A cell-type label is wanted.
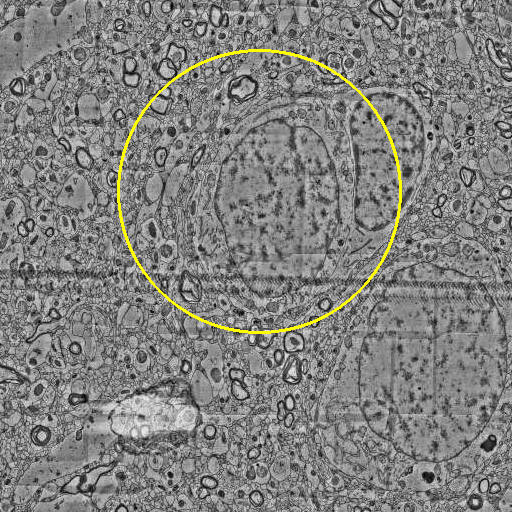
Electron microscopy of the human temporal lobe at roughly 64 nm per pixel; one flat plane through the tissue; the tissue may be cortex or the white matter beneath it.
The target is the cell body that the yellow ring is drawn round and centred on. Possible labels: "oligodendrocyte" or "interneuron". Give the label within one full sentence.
Of the labels offered, the cell in the middle of the yellow ring is an interneuron.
